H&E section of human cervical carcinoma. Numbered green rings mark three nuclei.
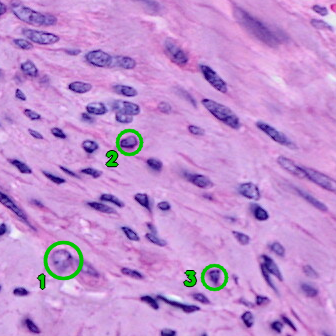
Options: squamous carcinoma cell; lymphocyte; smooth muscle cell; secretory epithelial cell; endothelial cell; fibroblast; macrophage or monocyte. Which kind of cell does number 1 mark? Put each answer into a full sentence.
As for number 1, that cell is an endothelial cell.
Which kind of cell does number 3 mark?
The cell that is numbered 3 is a smooth muscle cell.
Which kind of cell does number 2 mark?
In the tissue shown, cell 2 is a smooth muscle cell.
